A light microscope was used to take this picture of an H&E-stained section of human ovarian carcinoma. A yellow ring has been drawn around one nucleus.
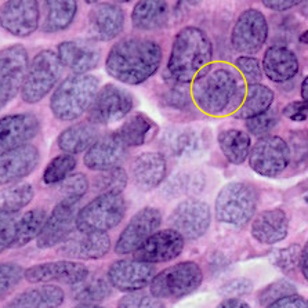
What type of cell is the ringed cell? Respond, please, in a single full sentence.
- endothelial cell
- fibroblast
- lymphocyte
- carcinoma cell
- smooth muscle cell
The cell type represented by the ringed cell is that of a carcinoma cell.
